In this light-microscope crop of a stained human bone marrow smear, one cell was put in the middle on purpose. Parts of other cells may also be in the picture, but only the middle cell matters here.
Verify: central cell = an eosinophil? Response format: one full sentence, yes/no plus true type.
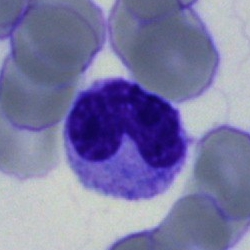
No, the central cell is classed as a band neutrophil and not as an eosinophil.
